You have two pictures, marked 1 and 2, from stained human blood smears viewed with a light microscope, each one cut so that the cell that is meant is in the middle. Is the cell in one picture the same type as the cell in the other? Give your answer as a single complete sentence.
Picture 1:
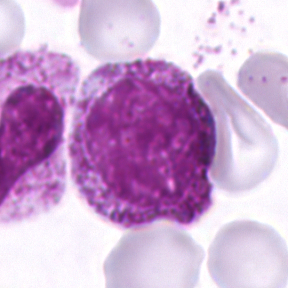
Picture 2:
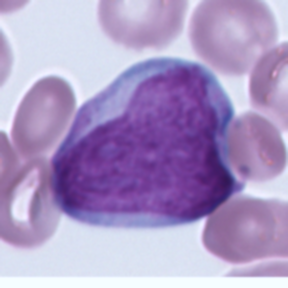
No; the cell in picture 1 is a myelocyte, while the one in picture 2 is an atypical promyelocyte.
